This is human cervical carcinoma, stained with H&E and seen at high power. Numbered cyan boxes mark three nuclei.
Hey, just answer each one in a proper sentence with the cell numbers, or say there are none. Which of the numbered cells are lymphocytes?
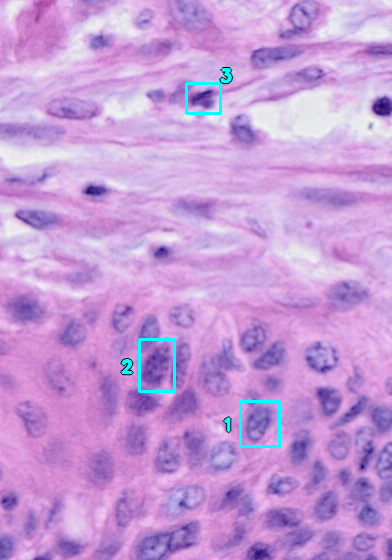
The sole numbered cell that is a lymphocyte is cell 3.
